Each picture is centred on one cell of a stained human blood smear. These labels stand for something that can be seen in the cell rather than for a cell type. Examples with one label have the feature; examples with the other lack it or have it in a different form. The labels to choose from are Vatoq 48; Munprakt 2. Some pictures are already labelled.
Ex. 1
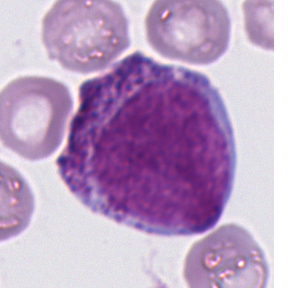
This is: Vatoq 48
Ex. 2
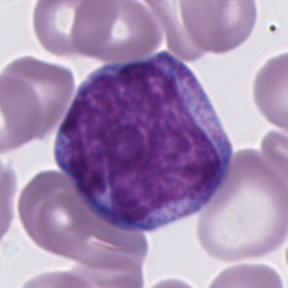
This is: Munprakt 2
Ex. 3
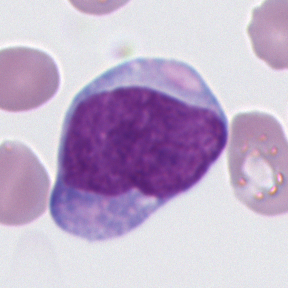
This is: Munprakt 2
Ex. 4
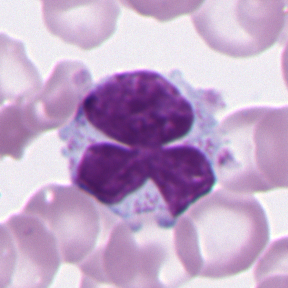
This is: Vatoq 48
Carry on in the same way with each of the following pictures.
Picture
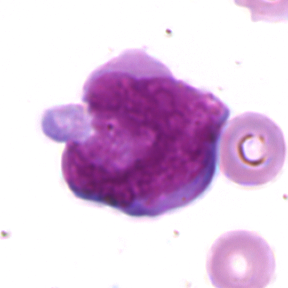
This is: Munprakt 2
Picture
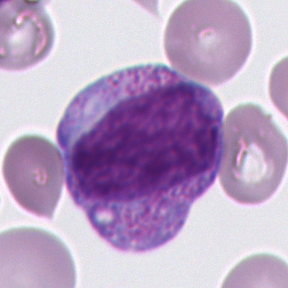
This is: Vatoq 48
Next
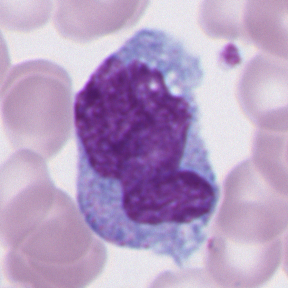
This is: Vatoq 48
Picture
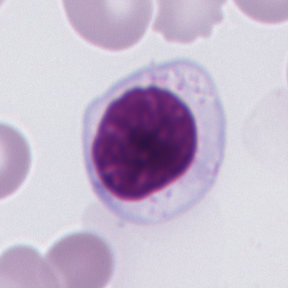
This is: Vatoq 48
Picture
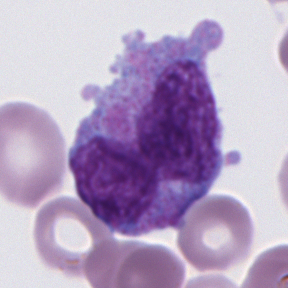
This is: Vatoq 48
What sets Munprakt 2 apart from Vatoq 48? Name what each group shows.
In Munprakt 2: no visible granules. In Vatoq 48: many visible granules.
